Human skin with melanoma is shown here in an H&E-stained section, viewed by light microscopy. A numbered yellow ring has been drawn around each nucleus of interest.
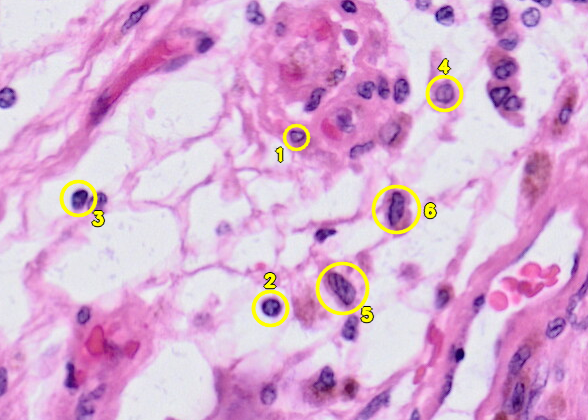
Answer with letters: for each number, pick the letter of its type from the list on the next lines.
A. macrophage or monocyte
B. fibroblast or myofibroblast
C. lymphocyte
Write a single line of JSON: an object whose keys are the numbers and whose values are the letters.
{"1": "A", "2": "C", "3": "C", "4": "A", "5": "A", "6": "A"}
